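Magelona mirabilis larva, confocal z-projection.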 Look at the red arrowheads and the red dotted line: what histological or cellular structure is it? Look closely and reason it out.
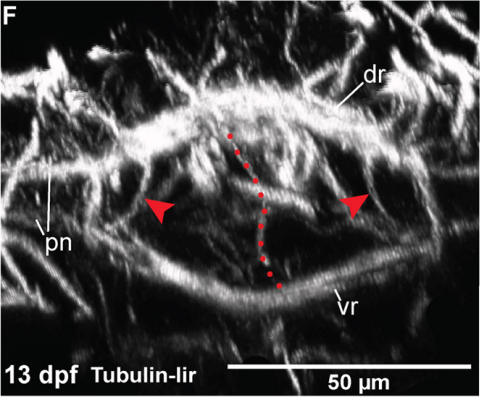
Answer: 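Thin white fibre tracts run between the upper and the lower thick nerve arcs. The red dotted line crosses from the upper arc to the lower arc. The answer: distinct interconnections.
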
